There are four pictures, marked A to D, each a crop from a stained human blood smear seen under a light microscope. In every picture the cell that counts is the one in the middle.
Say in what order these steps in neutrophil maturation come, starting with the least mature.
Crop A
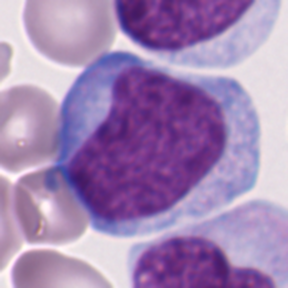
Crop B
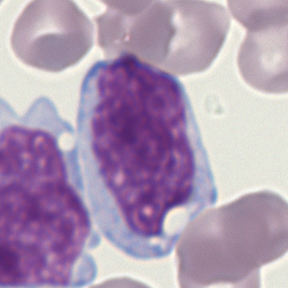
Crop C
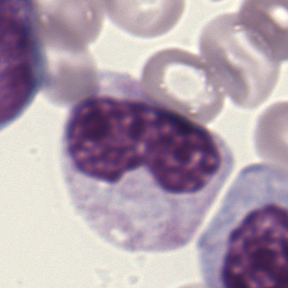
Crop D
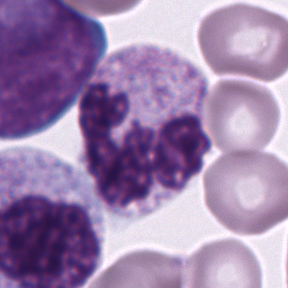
B, A, C, D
